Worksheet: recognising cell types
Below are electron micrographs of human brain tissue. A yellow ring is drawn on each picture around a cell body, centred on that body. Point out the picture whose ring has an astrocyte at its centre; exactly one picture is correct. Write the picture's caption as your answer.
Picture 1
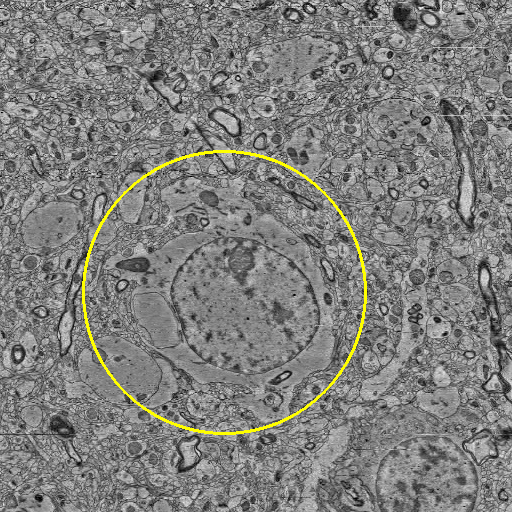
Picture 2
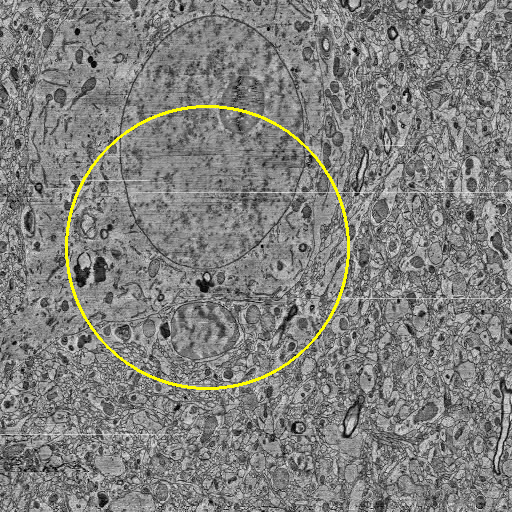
Picture 1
